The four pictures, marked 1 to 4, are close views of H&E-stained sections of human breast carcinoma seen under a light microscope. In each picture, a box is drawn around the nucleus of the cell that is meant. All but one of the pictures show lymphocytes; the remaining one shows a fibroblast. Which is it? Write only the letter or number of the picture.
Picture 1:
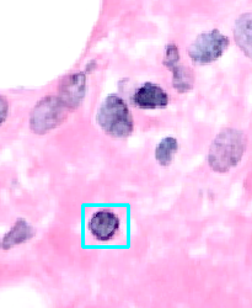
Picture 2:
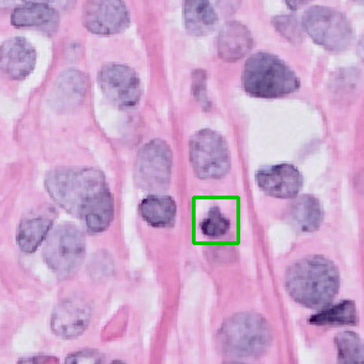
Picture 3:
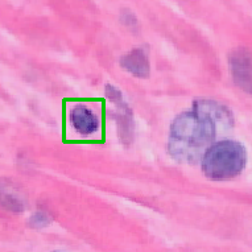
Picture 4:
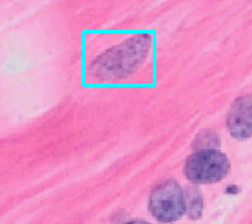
4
